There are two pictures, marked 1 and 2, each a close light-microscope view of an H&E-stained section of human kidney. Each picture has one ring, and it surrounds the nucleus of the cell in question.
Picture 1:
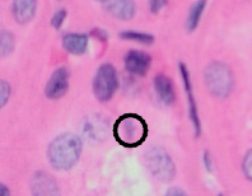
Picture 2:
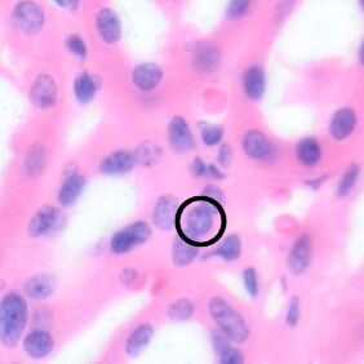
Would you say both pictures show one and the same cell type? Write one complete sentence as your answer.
Yes, both are collecting duct cells.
